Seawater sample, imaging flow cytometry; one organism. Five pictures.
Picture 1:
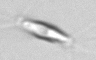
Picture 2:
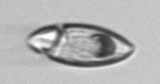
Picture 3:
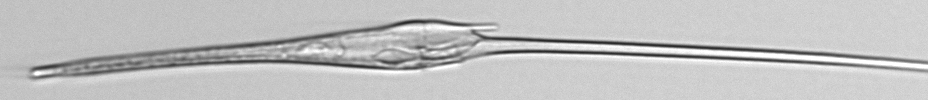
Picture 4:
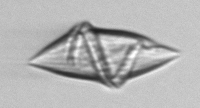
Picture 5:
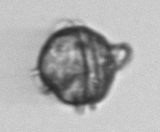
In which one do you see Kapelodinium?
In picture 2.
